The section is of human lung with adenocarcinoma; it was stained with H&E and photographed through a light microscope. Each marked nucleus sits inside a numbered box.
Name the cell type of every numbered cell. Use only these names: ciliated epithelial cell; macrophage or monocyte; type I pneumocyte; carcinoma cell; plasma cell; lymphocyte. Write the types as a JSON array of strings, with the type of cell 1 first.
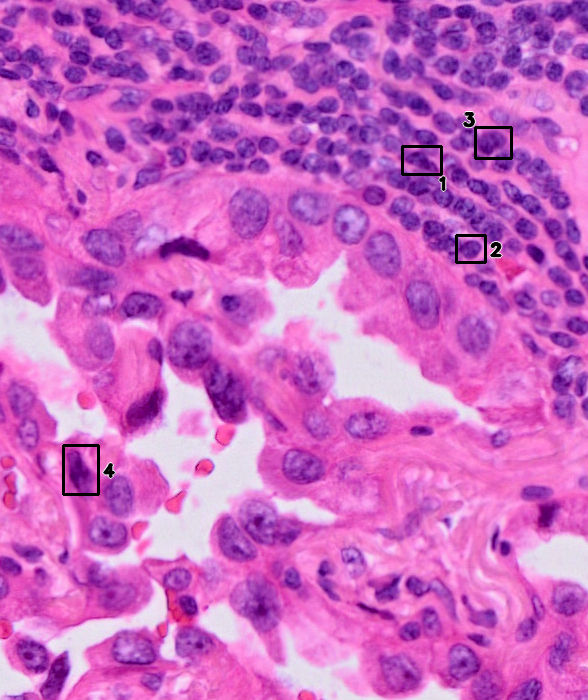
["lymphocyte", "lymphocyte", "lymphocyte", "carcinoma cell"]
